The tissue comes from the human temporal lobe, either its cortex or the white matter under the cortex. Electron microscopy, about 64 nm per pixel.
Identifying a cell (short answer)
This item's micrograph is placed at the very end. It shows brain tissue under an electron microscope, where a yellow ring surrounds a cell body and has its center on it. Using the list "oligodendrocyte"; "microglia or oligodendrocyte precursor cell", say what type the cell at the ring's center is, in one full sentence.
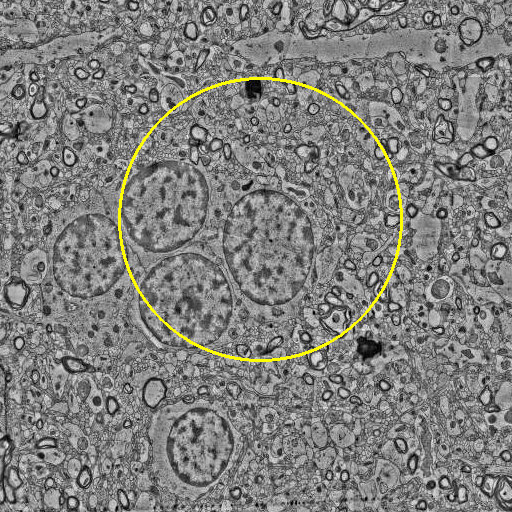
This picture shows an oligodendrocyte at the center of the yellow ring drawn on it.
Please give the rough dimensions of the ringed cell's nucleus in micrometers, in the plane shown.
Approximately 7 x 6 micrometres in this plane.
